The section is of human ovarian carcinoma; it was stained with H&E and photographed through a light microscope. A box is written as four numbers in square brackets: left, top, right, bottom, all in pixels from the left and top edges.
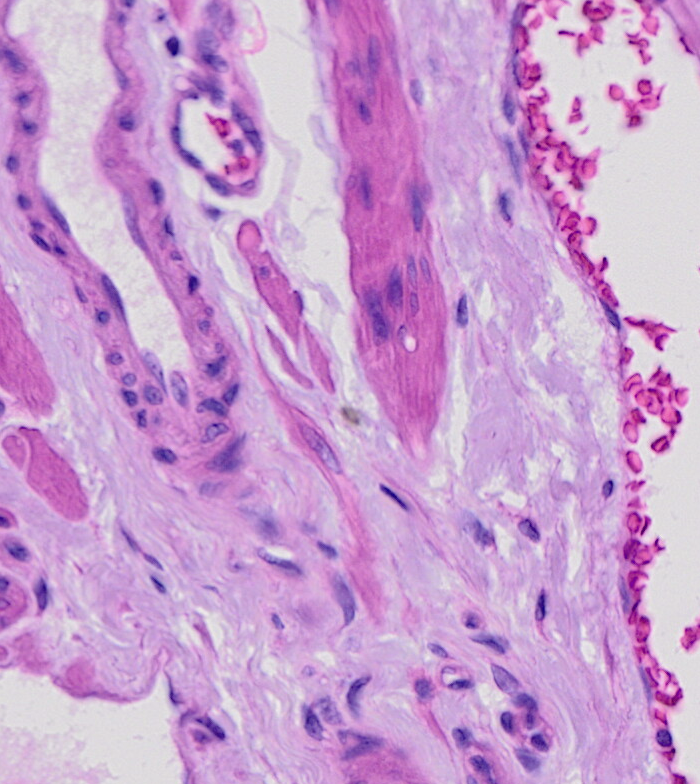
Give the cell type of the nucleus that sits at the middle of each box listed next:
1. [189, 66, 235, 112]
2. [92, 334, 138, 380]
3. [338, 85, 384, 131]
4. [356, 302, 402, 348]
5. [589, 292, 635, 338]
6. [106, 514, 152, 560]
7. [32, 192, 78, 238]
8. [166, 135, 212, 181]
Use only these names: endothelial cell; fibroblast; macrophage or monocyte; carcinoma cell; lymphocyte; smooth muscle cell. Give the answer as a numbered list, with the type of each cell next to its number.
1. endothelial cell
2. smooth muscle cell
3. smooth muscle cell
4. smooth muscle cell
5. endothelial cell
6. fibroblast
7. endothelial cell
8. endothelial cell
